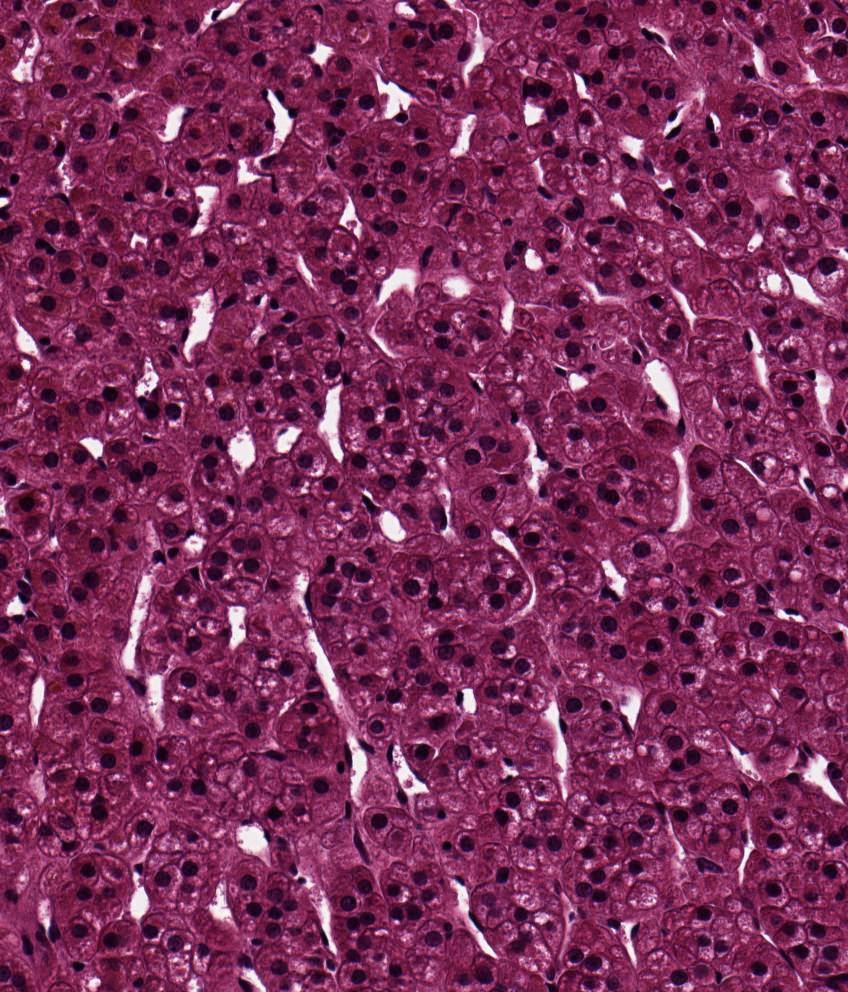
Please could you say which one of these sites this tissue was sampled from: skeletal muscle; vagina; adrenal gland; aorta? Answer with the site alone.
adrenal gland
